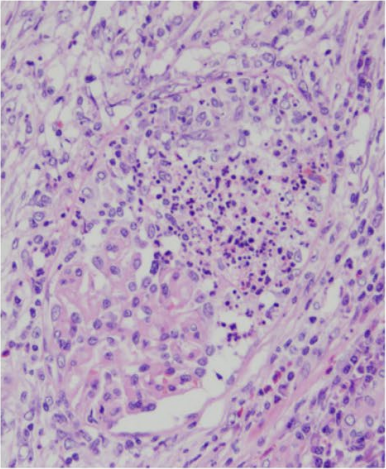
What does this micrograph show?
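A glomerulus lies within its capsule in the centre, surrounded by loose, oedematous interstitium with scattered inflammatory cells. One segment of the tuft is packed with small cells with dark, lobed nuclei and its capillary loops are lost, while the remaining tuft keeps pink loops.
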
